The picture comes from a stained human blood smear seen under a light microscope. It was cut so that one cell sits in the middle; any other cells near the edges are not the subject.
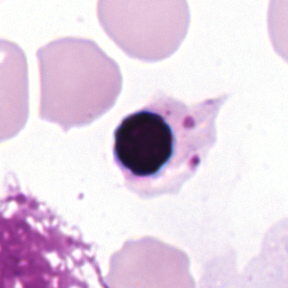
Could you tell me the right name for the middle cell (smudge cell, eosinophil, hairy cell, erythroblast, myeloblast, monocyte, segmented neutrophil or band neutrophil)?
erythroblast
